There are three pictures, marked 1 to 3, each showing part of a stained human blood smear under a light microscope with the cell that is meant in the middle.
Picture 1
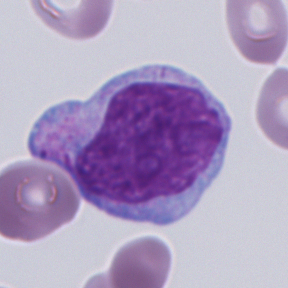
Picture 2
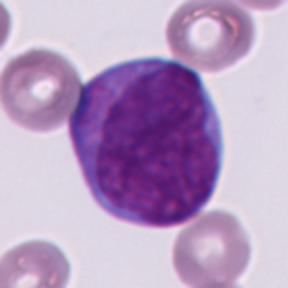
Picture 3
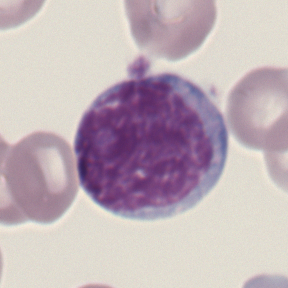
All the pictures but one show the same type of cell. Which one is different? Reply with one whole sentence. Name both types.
Picture 3 is the odd one out: it shows a myeloblast, while the others show atypical promyelocytes.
